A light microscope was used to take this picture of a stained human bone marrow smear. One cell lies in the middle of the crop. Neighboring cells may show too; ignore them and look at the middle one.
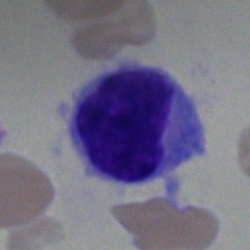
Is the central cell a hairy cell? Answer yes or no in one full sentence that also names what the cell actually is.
Yes, the centred cell is categorised as a hairy cell.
